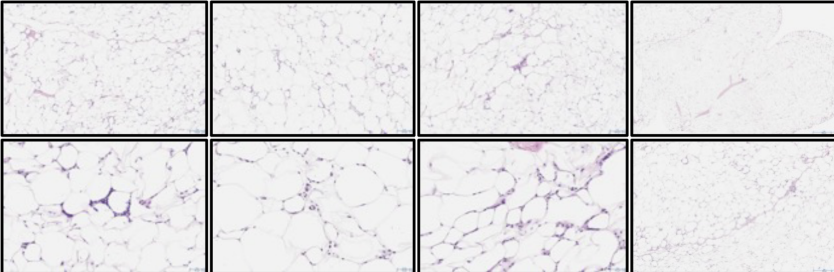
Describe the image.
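These are sections of adipose tissue made up mostly of large, empty-looking fat cells. Each adipocyte appears as a clear polygonal space bounded by a thin pink rim of cytoplasm. The nuclei are flattened and pushed to the edge of the cells. Between the adipocytes lie small clusters of darker purple nuclei belonging to cells in the spaces between the fat cells. The size of the fat cells varies across the sections.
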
